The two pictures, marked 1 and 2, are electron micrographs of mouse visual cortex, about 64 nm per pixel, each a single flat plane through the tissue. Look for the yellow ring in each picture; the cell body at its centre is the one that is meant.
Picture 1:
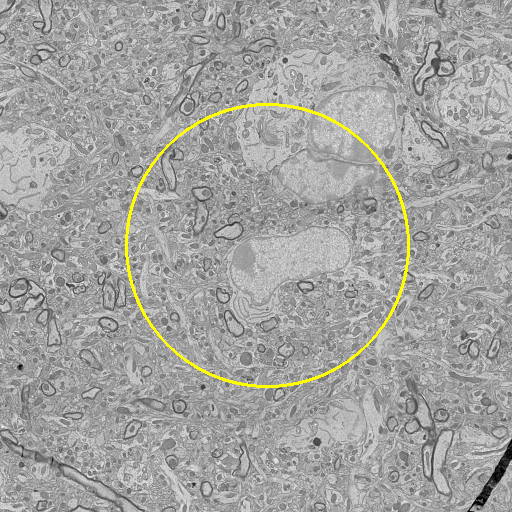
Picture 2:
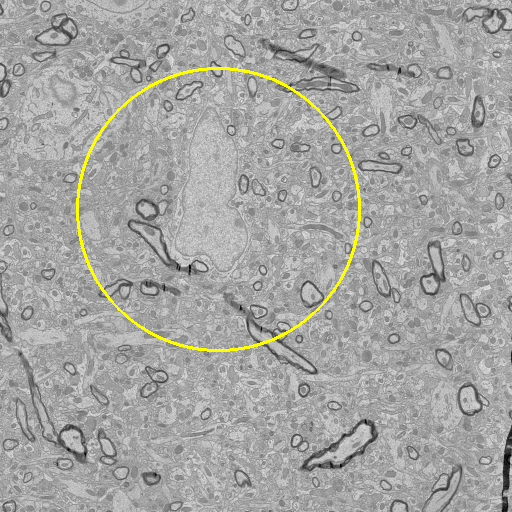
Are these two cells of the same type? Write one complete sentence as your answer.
Yes, they are the same type: both are oligodendrocyte precursor cells.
